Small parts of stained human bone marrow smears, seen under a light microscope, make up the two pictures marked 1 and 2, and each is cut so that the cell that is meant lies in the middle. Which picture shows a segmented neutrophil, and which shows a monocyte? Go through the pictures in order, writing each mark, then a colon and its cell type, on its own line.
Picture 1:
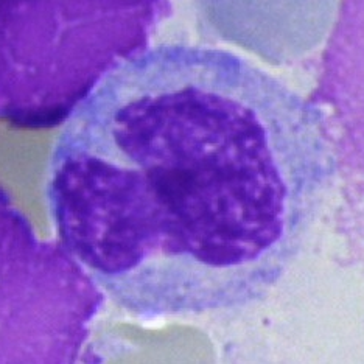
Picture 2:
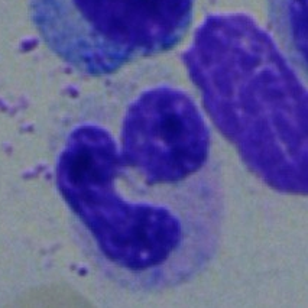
1: monocyte
2: segmented neutrophil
